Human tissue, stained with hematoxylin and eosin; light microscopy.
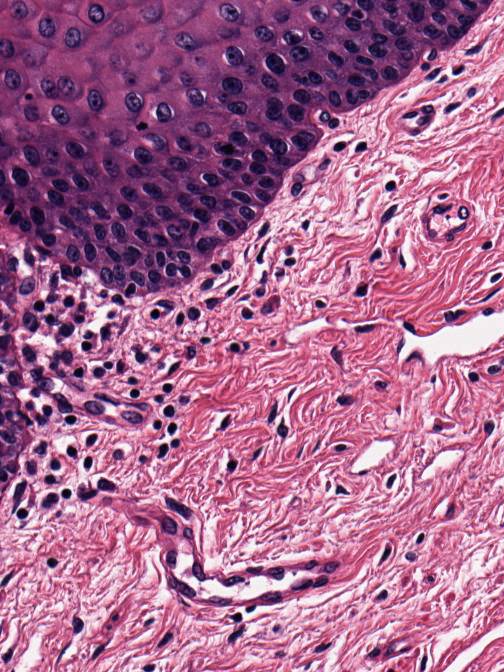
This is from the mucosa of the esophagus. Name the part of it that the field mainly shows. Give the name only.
loose connective tissue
